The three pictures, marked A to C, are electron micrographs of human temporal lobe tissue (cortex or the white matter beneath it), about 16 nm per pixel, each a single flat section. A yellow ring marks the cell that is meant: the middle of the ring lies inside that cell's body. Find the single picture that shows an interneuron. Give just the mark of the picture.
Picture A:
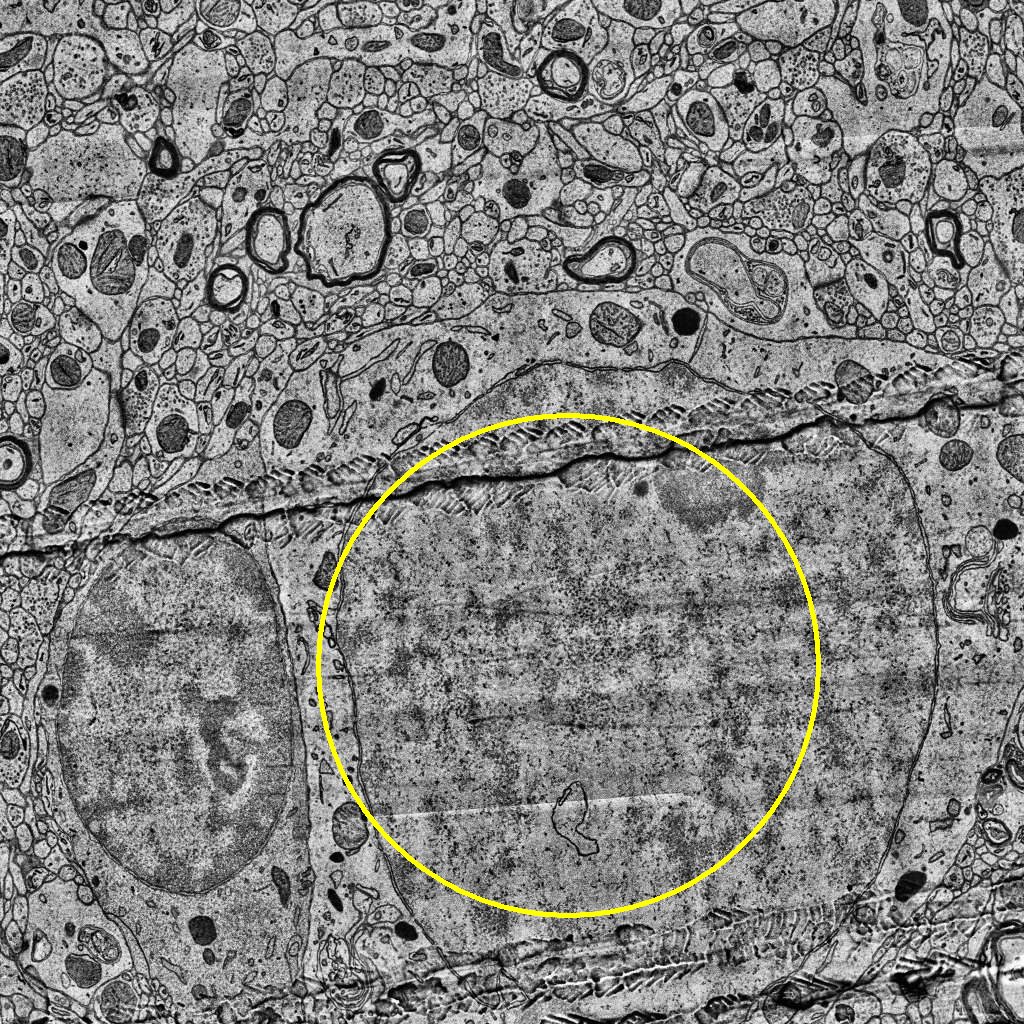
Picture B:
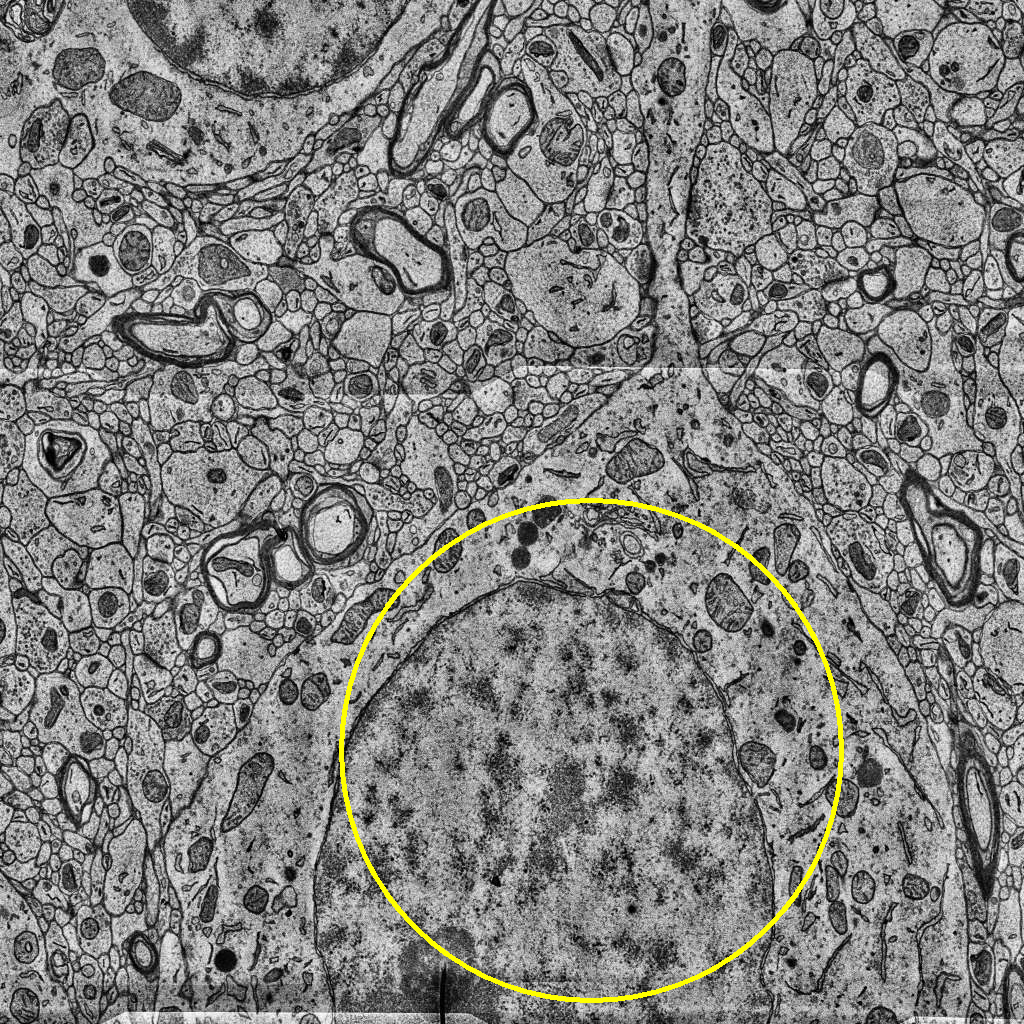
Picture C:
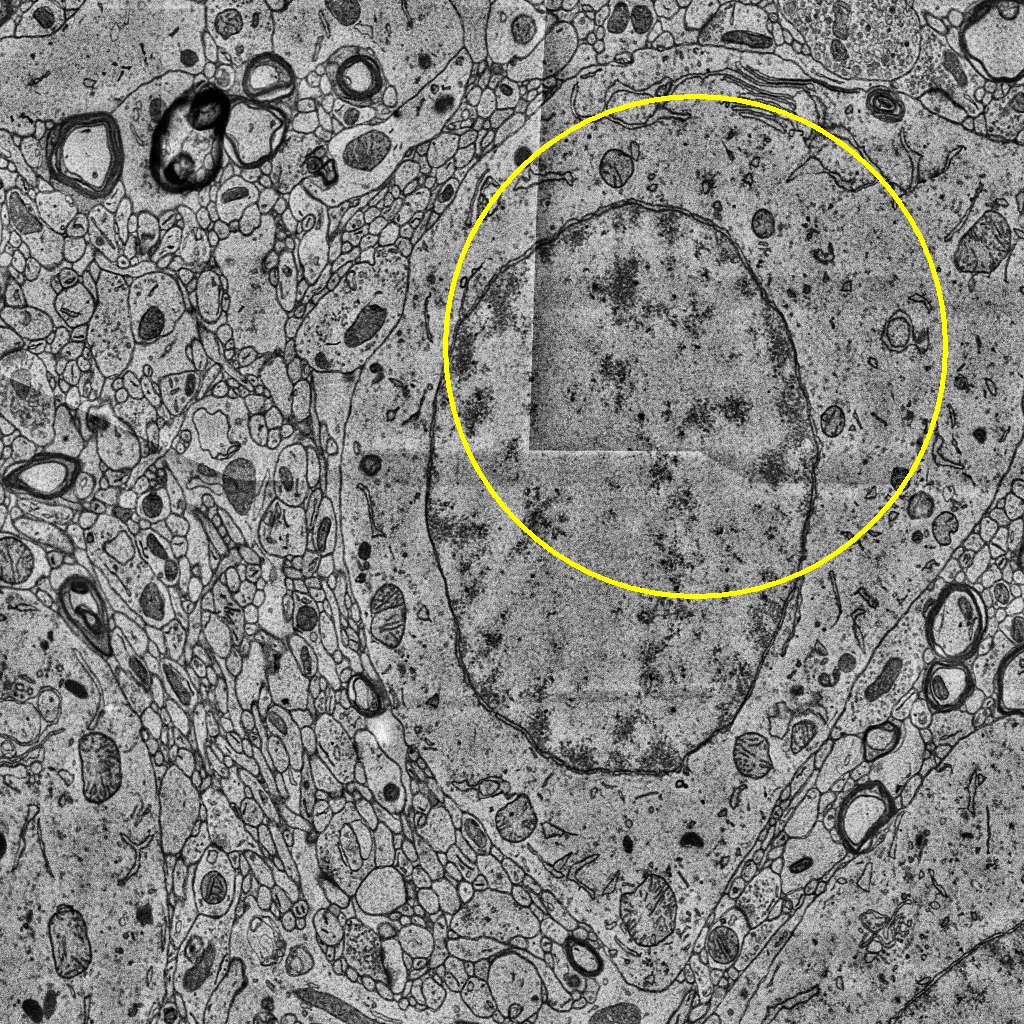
B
